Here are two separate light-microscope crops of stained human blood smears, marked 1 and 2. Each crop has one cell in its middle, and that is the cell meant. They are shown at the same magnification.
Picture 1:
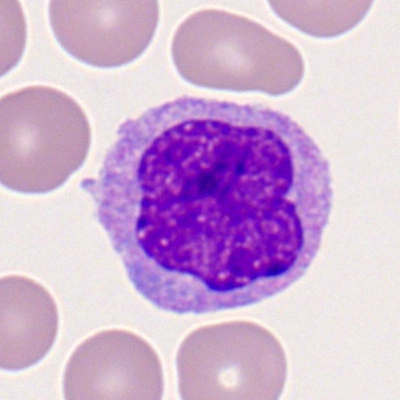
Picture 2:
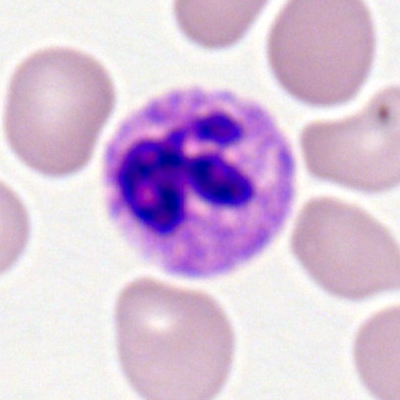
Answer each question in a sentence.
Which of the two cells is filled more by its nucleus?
Of the two, the nucleus in picture 1 makes up the greater part of its cell.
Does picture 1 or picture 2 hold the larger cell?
It is the cell in picture 1, about 1.5 times as large in area as the cell in picture 2.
